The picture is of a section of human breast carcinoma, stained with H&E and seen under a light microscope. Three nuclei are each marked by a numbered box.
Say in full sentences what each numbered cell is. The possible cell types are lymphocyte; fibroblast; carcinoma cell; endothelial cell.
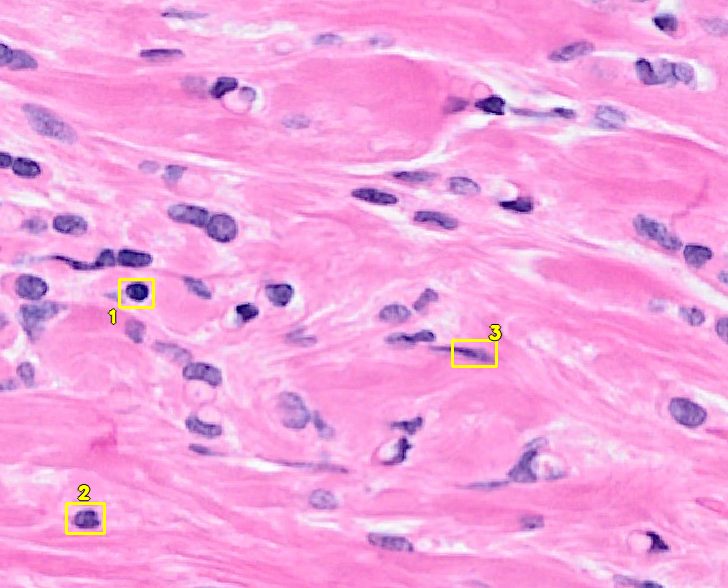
Cell 1 is a lymphocyte, cell 2 is a lymphocyte and cell 3 is a fibroblast.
